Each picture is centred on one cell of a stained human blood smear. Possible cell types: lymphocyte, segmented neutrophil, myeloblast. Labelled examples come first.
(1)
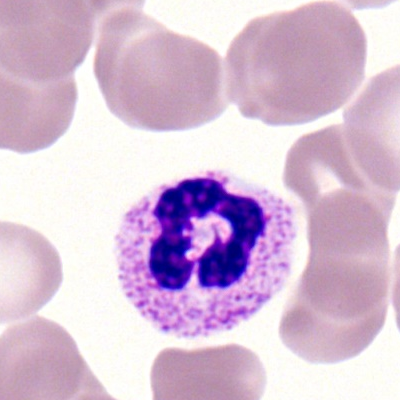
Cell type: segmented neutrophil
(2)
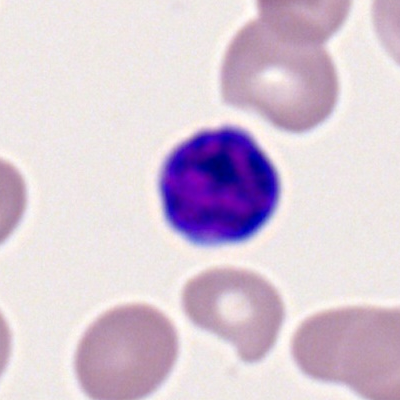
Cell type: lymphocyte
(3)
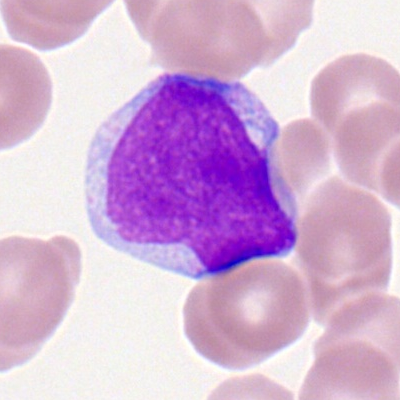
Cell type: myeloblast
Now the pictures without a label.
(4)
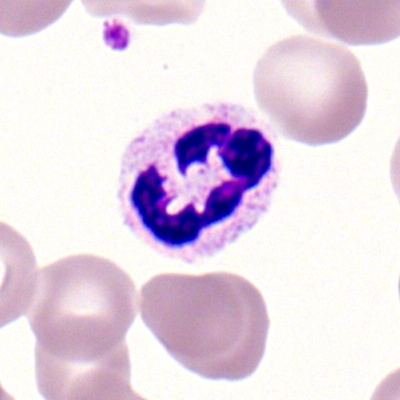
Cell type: segmented neutrophil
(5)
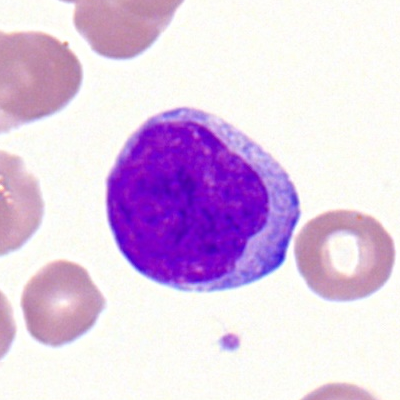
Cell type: myeloblast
